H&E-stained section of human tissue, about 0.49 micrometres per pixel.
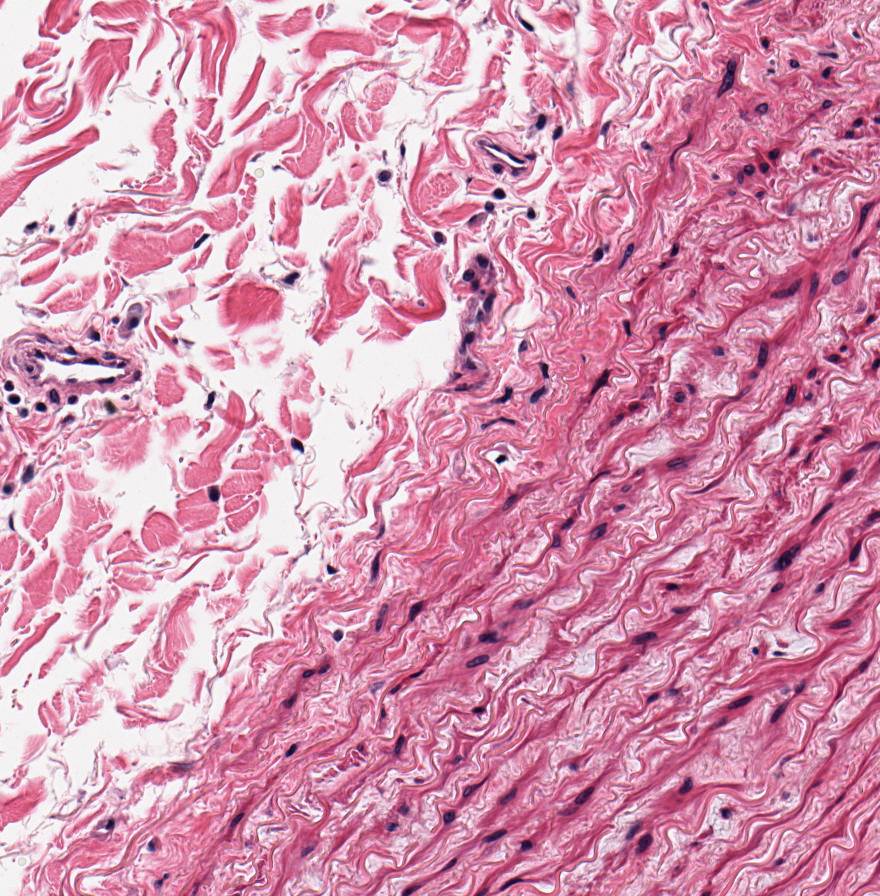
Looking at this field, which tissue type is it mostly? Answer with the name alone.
tunica media of an artery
